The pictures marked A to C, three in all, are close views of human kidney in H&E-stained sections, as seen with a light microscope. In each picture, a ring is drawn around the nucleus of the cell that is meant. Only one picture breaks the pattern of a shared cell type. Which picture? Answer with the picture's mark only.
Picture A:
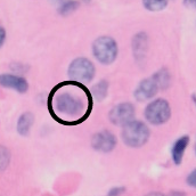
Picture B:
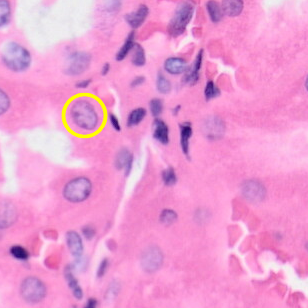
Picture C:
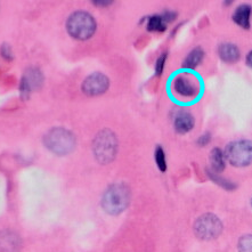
B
